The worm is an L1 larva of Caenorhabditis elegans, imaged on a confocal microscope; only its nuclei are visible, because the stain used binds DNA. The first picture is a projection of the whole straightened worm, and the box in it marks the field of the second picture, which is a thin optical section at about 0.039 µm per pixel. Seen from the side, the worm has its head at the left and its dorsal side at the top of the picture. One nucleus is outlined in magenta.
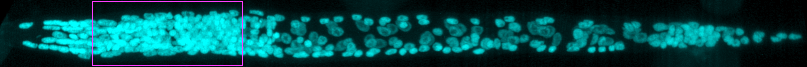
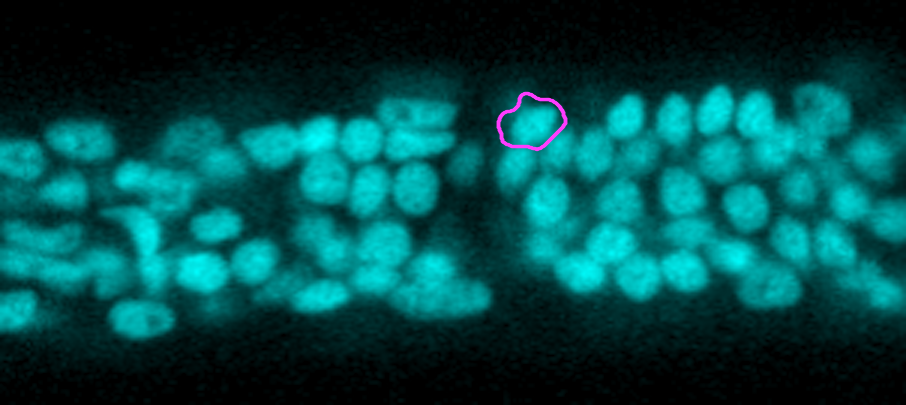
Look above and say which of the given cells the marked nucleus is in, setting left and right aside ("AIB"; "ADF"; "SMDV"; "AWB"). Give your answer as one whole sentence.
The marked cell is SMDV, a neuron.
